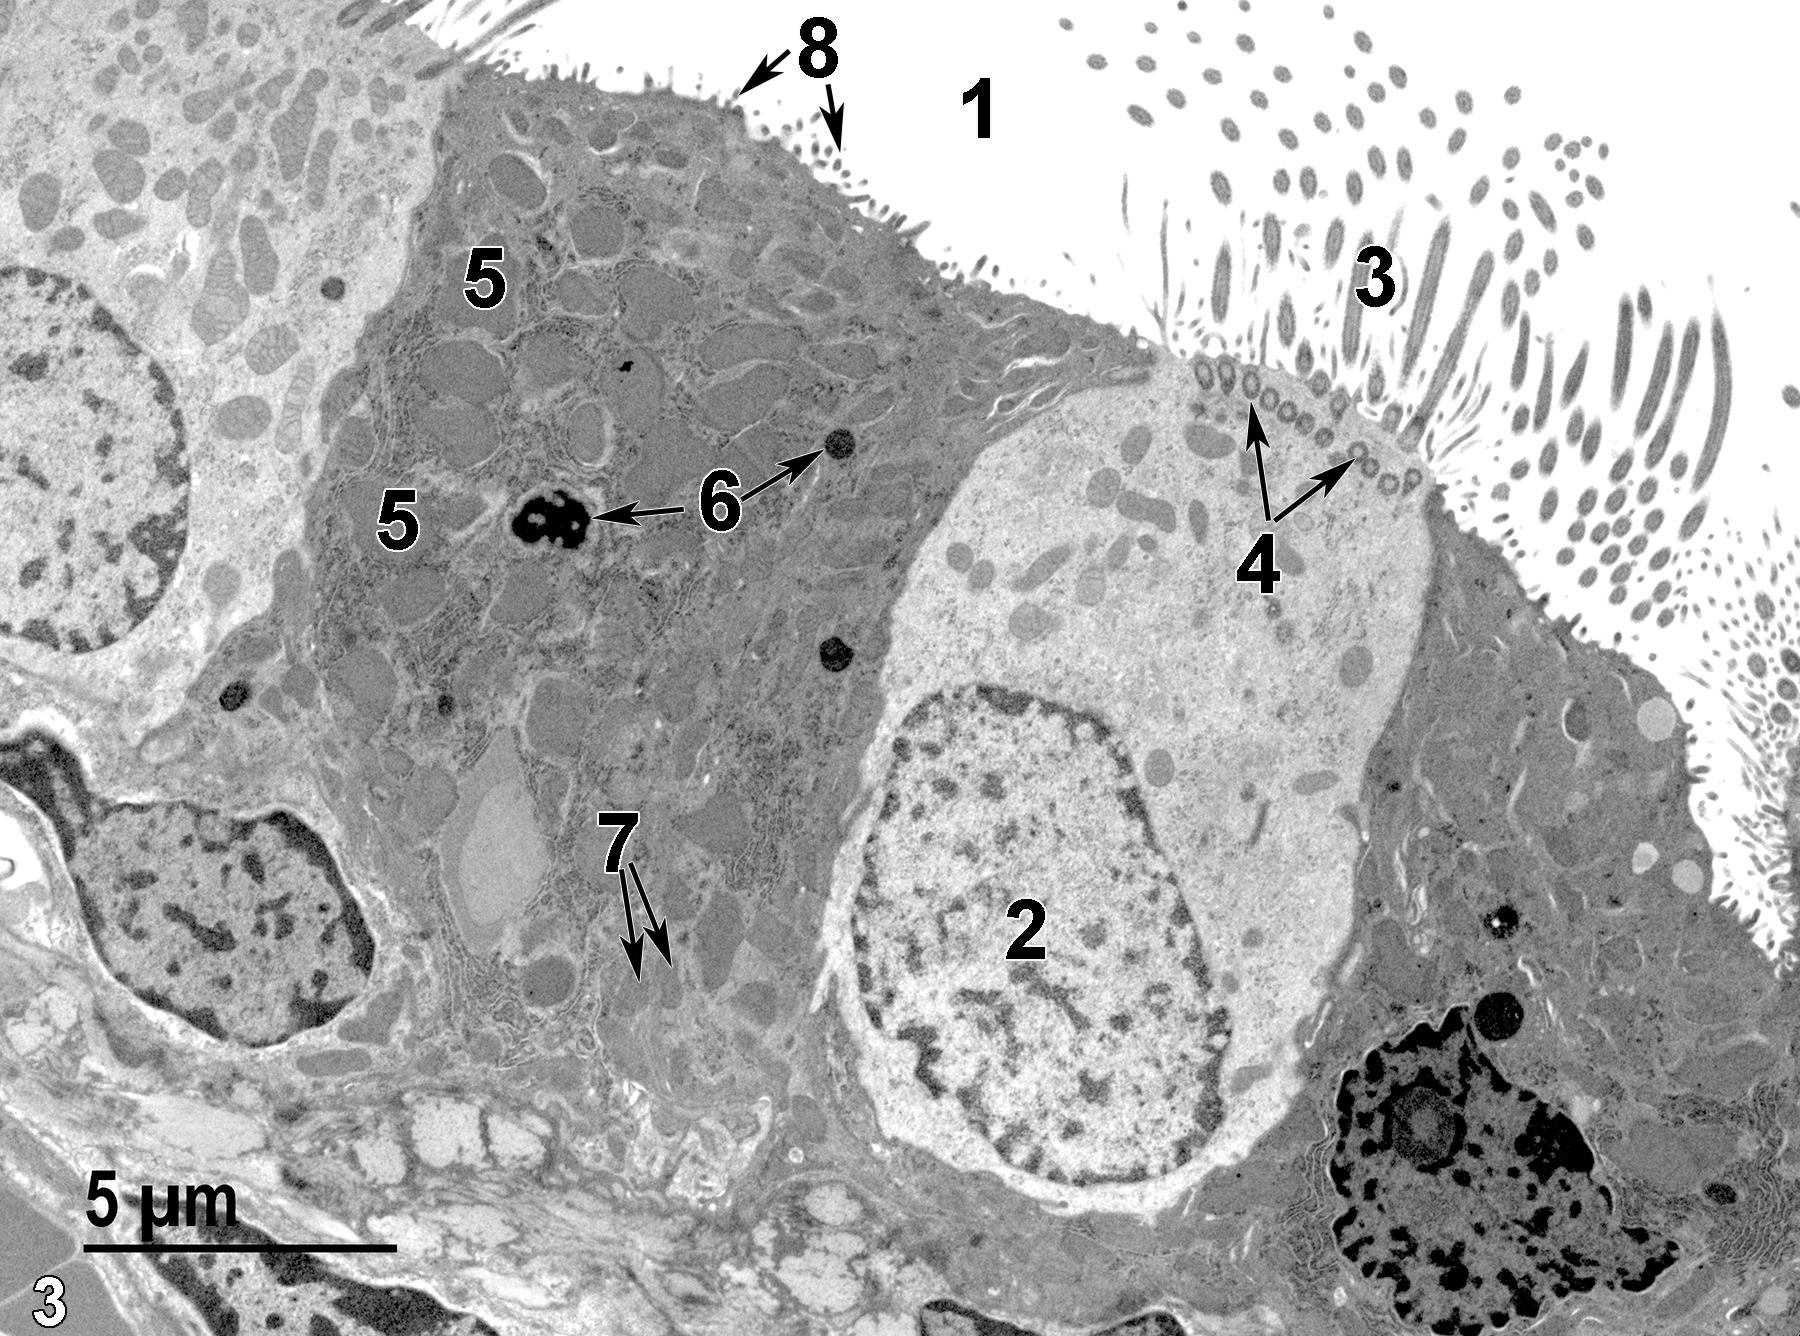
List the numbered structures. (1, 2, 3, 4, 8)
(1) tracheal lumen
(2) ciliated epithelial cell nucleus
(3) cilia
(4) apical basal bodies
(8) short microvilli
